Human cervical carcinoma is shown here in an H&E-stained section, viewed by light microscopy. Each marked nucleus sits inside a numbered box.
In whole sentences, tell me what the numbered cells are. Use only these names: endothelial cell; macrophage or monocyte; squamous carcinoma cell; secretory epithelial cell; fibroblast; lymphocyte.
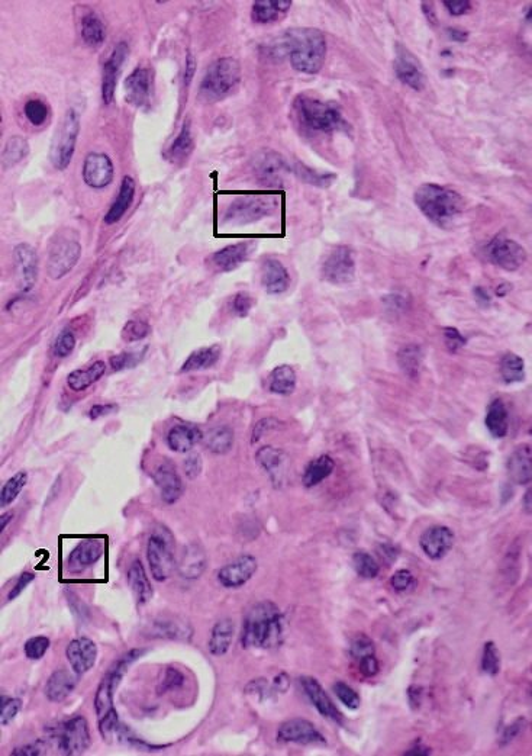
Cell 1 is a fibroblast. Cell 2 is a macrophage or monocyte.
